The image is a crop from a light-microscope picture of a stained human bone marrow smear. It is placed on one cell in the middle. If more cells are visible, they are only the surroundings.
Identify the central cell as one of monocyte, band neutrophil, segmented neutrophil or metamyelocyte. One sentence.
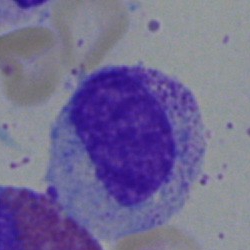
The crop centres on a single cell, and that cell is a metamyelocyte.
